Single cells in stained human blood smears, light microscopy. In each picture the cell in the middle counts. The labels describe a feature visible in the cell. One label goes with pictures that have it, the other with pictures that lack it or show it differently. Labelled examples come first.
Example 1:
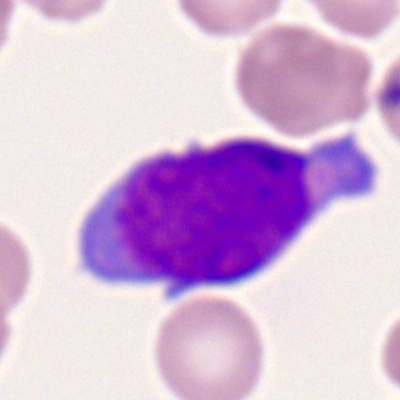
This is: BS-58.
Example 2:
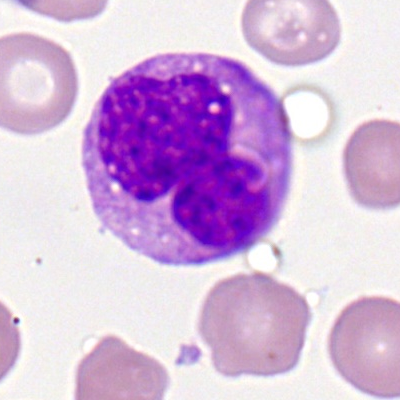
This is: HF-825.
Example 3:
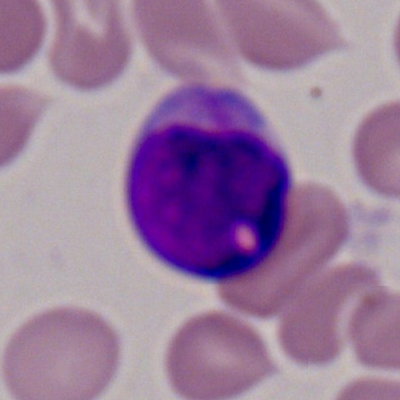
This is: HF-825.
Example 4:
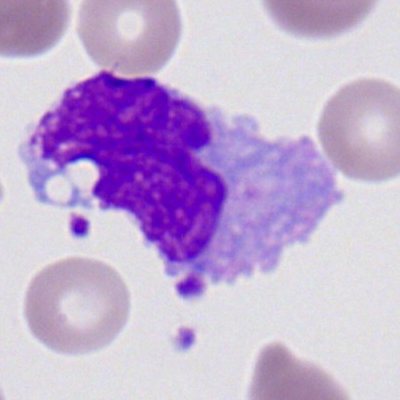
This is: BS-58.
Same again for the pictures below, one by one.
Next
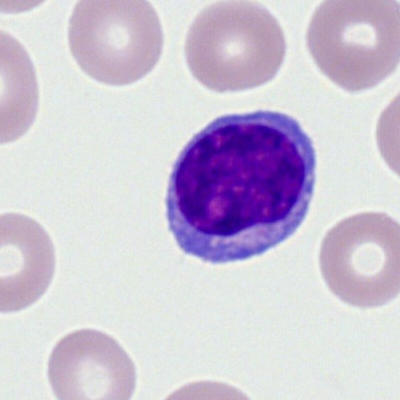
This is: HF-825.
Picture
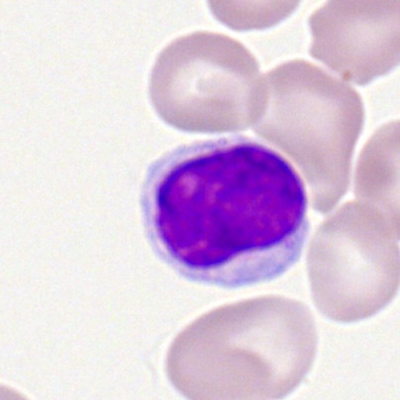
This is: HF-825.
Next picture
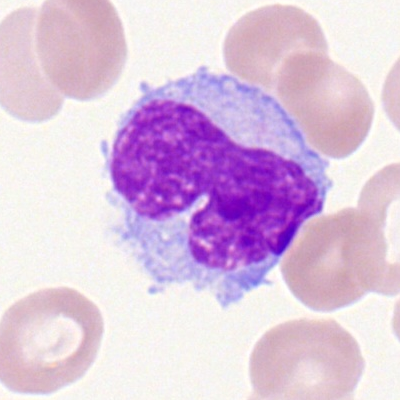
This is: BS-58.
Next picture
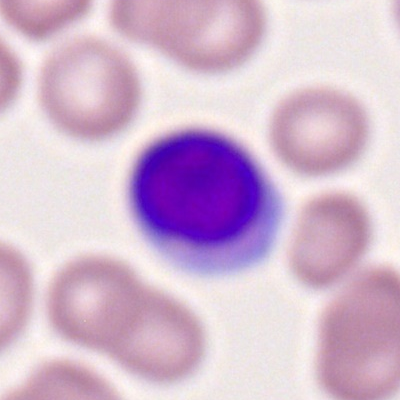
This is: HF-825.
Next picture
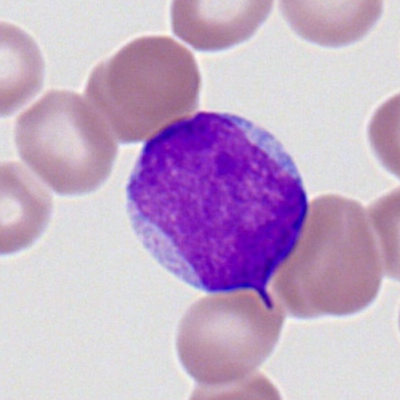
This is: BS-58.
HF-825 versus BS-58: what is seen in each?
In HF-825: smooth outline. In BS-58: ragged outline or projections.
